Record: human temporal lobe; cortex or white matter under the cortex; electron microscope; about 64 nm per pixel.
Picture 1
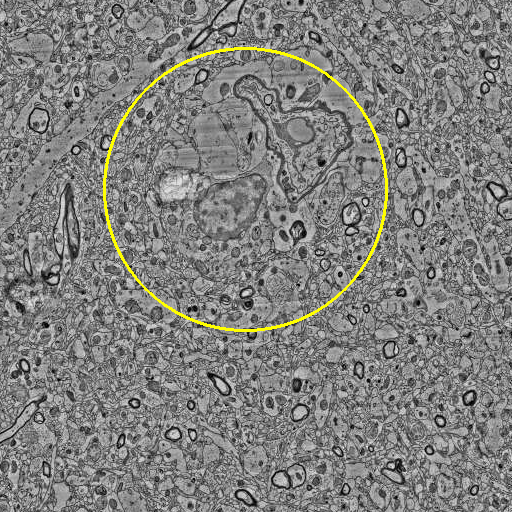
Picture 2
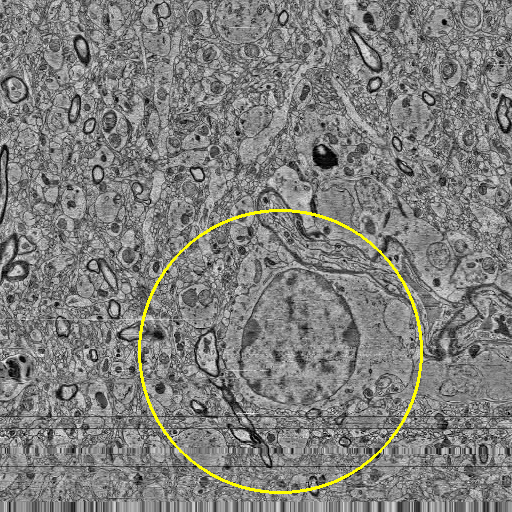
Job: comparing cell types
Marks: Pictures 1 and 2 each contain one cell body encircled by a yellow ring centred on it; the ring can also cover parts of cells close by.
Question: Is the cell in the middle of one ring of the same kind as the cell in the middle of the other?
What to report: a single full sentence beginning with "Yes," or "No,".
No, the cell at the ring centre in Picture 1 and its partner in Picture 2 are of two kinds.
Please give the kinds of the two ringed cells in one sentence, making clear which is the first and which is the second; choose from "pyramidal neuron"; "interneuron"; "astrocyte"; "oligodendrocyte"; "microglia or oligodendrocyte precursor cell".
In the second picture the ringed cell is a microglial cell or oligodendrocyte precursor cell; in the first it is an oligodendrocyte.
